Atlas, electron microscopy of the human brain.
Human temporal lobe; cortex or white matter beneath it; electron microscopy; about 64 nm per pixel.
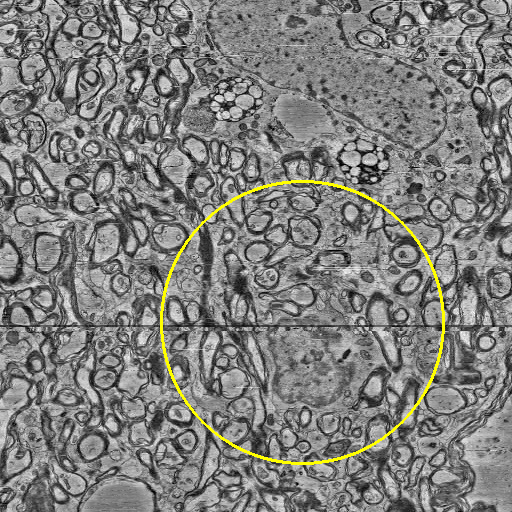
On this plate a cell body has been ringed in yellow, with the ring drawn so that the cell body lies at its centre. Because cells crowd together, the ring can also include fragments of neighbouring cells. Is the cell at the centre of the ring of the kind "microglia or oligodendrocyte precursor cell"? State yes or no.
No, it is of another kind.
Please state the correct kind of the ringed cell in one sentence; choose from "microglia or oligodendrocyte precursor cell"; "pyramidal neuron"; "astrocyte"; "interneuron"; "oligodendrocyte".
The ring's central cell is an oligodendrocyte instead.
